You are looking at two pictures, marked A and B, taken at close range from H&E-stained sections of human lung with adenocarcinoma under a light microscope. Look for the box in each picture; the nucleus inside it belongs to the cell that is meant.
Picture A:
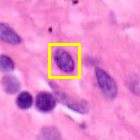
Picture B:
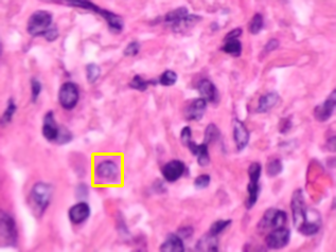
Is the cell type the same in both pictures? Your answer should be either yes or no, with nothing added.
yes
